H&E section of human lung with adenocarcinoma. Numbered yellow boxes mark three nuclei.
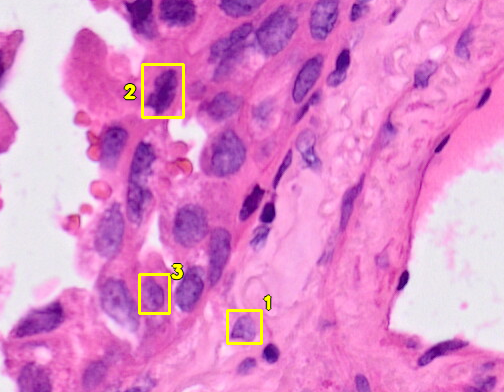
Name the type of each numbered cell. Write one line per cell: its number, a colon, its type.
1: fibroblast
2: carcinoma cell
3: carcinoma cell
